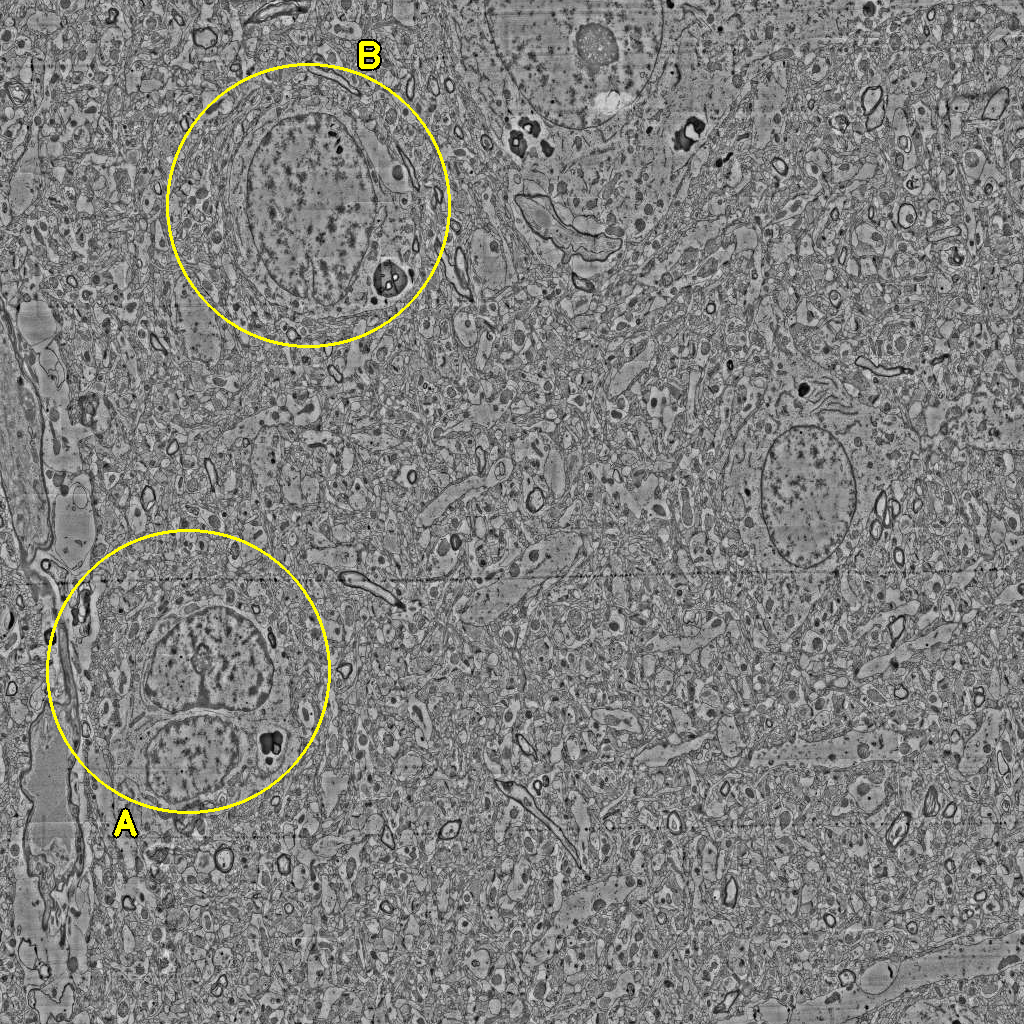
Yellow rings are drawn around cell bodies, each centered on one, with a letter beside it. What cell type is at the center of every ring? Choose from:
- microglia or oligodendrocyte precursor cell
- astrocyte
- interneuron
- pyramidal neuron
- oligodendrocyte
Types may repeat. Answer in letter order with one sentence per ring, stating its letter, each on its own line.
The cell at the center of ring A is a microglial cell or oligodendrocyte precursor cell.
The cell at the center of ring B is an interneuron.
